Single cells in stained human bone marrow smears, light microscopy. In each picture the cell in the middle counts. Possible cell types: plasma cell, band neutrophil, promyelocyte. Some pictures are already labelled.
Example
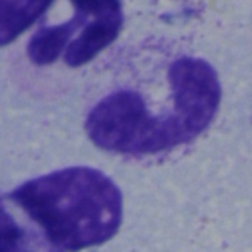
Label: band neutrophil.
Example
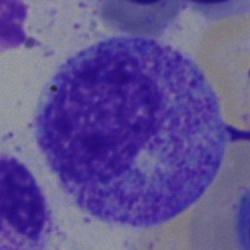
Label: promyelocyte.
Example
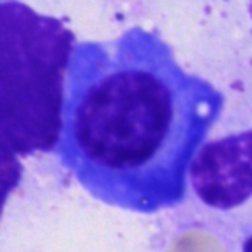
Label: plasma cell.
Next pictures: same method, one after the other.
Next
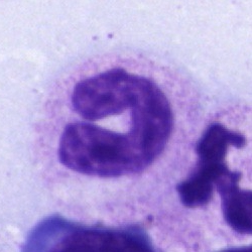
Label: band neutrophil.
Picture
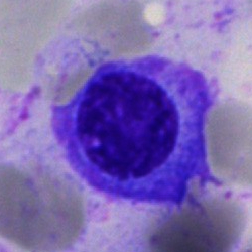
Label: plasma cell.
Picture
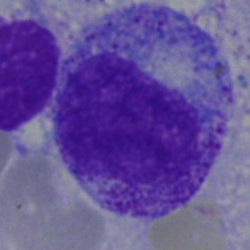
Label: promyelocyte.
